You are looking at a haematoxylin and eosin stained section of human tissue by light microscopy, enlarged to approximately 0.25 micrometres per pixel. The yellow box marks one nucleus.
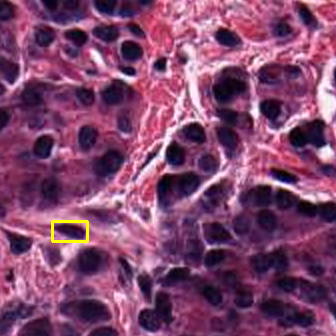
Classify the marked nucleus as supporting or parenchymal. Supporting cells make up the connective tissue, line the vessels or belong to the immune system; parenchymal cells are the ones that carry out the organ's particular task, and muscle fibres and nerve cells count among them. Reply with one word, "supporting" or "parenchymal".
supporting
